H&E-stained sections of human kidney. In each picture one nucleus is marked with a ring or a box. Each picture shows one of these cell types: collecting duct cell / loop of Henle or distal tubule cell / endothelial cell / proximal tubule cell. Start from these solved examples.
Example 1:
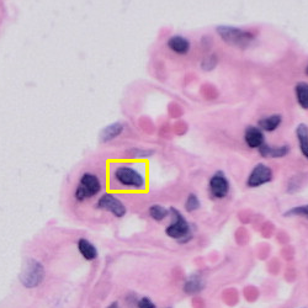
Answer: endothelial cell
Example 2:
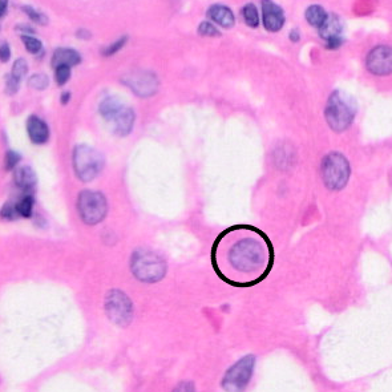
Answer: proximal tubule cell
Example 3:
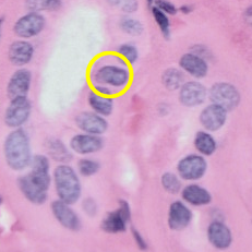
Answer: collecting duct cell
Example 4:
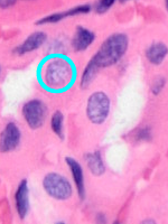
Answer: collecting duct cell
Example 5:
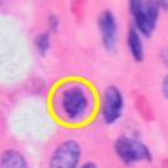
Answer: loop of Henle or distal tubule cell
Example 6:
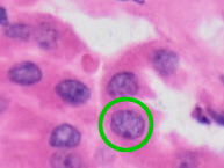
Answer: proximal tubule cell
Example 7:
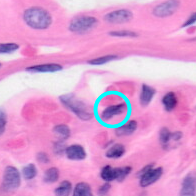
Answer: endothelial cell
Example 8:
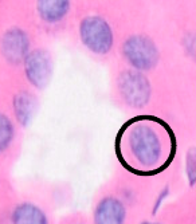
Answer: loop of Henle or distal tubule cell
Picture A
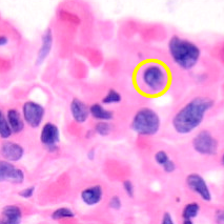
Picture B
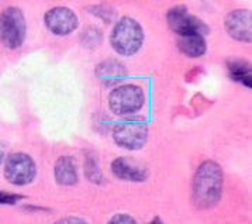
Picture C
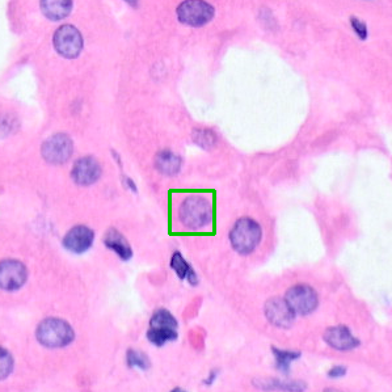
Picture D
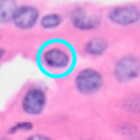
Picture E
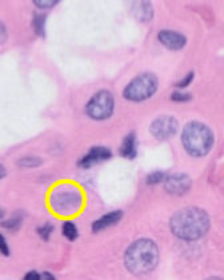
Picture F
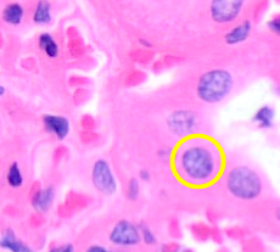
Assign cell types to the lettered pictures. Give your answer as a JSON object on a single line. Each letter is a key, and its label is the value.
{"A": "endothelial cell", "B": "collecting duct cell", "C": "proximal tubule cell", "D": "loop of Henle or distal tubule cell", "E": "collecting duct cell", "F": "loop of Henle or distal tubule cell"}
